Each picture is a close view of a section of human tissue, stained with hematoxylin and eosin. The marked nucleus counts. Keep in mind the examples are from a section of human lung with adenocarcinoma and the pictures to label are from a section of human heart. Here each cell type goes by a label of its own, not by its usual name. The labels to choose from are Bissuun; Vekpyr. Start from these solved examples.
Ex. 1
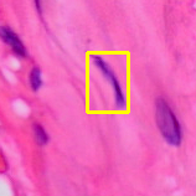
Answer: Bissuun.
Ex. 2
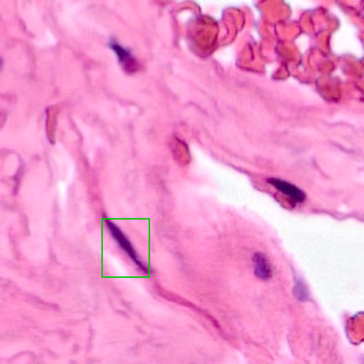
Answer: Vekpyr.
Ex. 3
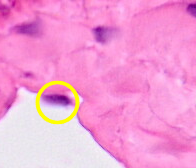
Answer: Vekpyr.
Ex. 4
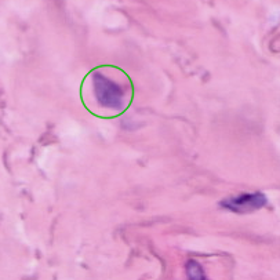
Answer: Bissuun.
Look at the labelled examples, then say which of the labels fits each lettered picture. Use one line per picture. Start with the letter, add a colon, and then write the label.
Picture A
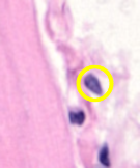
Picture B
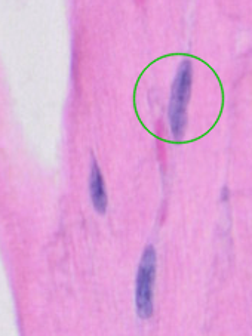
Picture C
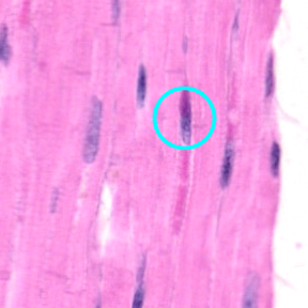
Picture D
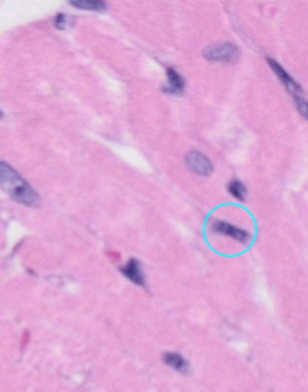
A: Bissuun.
B: Bissuun.
C: Vekpyr.
D: Bissuun.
